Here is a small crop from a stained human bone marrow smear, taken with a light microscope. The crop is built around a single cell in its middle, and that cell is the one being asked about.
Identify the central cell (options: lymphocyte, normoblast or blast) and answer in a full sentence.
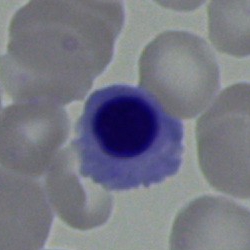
The cell at the central position in this crop is a normoblast.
